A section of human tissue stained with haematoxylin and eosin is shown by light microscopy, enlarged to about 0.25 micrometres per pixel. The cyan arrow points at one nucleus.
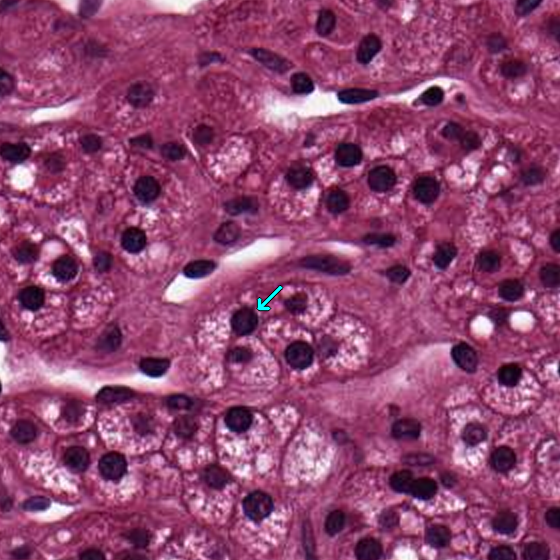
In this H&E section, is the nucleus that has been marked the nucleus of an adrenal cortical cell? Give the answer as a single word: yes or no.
yes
